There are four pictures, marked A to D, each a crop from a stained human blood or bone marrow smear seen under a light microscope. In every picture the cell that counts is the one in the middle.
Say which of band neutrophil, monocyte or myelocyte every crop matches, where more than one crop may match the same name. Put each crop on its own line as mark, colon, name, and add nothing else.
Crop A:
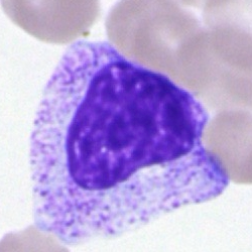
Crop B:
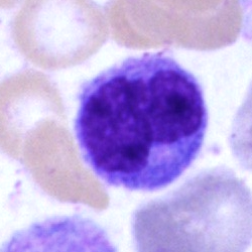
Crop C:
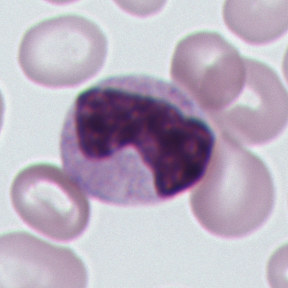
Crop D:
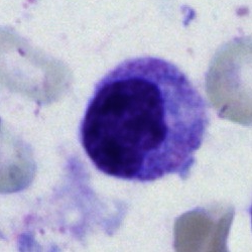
A: myelocyte
B: monocyte
C: band neutrophil
D: myelocyte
